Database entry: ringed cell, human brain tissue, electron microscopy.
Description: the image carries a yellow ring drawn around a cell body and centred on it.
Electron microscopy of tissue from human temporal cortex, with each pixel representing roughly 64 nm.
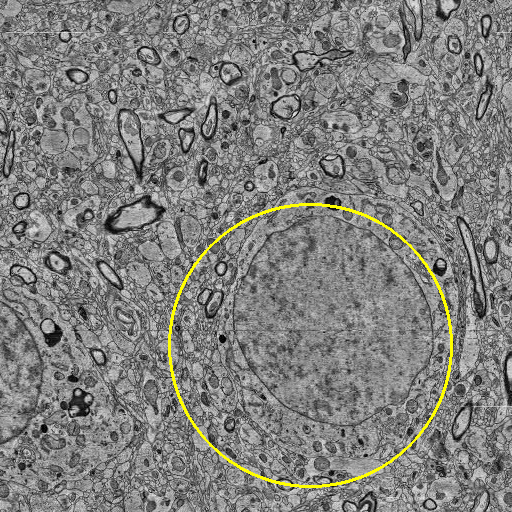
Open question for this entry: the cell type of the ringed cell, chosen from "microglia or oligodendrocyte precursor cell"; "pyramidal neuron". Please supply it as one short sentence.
The ringed cell is a pyramidal neuron.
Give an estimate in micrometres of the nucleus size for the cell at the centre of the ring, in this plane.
The nucleus appears about 13 micrometres across in this plane.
